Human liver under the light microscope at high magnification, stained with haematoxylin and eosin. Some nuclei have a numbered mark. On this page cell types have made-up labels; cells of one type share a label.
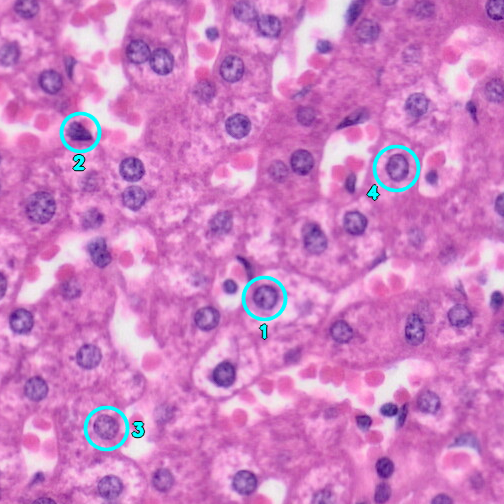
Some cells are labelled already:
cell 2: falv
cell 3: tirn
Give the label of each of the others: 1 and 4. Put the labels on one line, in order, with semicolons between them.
tirn; tirn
